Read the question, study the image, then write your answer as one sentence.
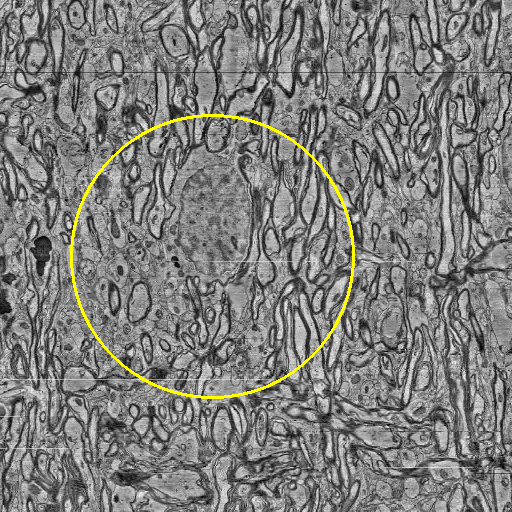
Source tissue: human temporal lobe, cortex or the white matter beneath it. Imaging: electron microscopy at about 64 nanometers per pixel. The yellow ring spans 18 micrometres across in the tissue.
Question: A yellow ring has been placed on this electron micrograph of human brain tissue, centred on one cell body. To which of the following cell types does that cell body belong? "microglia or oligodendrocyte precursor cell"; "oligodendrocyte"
That cell body belongs to an oligodendrocyte.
